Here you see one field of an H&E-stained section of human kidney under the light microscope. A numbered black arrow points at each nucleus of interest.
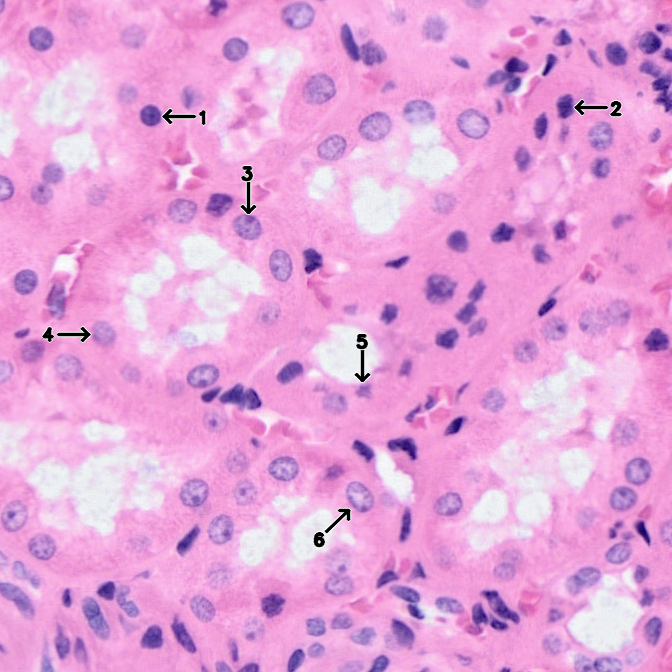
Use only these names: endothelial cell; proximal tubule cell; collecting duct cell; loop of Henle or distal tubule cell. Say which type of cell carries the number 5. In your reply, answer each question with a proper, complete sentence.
Nucleus 5 in this section belongs to a loop of Henle or distal tubule cell.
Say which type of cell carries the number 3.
The cell carrying label 3 is identified as a proximal tubule cell.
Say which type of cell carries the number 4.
Here the cell numbered 4 is a proximal tubule cell.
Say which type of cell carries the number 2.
The cell carrying label 2 is identified as a loop of Henle or distal tubule cell.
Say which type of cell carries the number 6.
Heads up, the cell numbered 6 is a proximal tubule cell.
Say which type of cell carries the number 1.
That cell with number 1 is a proximal tubule cell.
